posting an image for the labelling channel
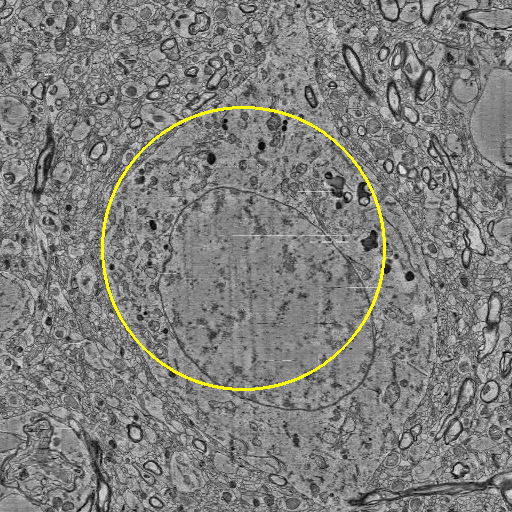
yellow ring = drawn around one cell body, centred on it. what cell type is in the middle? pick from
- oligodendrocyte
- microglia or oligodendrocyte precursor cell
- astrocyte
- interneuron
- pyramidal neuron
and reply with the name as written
pyramidal neuron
